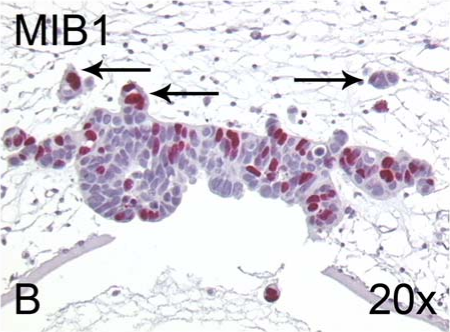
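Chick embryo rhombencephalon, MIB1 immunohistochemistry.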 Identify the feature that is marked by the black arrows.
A: small aggregated clusters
